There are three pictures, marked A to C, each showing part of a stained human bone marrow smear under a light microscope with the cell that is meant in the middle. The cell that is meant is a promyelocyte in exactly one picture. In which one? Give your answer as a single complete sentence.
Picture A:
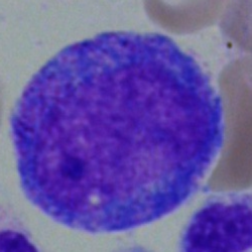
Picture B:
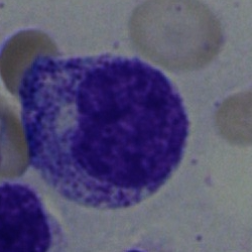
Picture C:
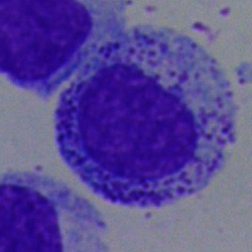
It is picture A that shows the promyelocyte.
